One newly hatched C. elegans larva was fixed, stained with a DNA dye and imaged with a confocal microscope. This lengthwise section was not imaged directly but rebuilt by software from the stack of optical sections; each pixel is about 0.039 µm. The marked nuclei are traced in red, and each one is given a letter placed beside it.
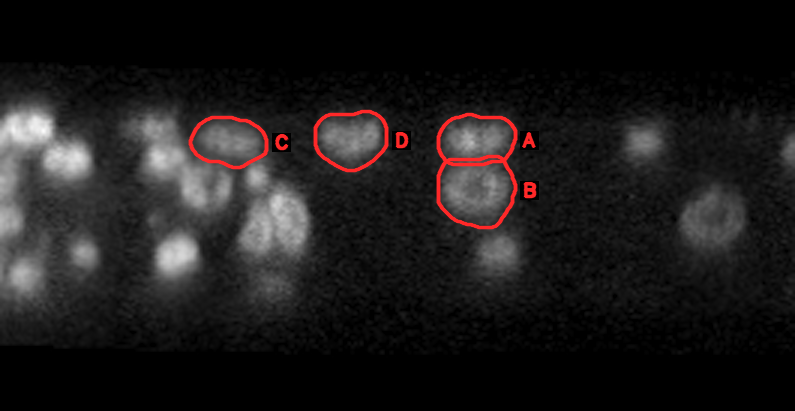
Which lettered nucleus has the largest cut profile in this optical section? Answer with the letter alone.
B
